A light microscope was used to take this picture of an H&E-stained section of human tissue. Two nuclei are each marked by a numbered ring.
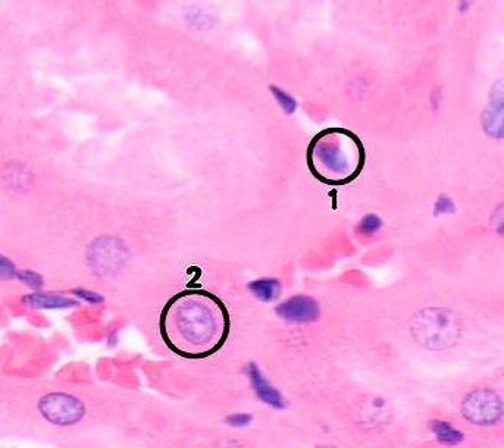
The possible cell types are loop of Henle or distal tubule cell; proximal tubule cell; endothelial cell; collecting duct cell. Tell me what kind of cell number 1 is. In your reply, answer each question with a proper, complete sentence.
Of the numbered cells, the one labelled 1 is an endothelial cell.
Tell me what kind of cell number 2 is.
The correct label for cell 2 is a proximal tubule cell.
